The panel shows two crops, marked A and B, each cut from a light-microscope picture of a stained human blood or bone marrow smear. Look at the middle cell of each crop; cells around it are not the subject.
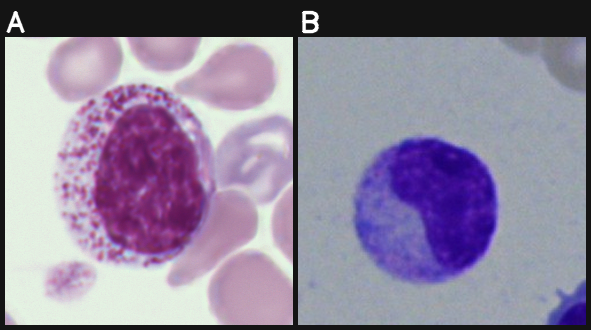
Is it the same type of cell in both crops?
yes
